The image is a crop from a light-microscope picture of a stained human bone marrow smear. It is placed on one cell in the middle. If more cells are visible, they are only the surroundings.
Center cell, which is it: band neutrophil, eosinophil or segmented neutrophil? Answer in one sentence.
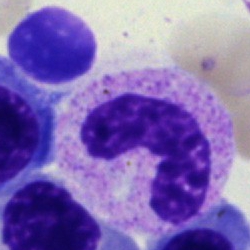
The centrally placed cell is classified as a band neutrophil.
